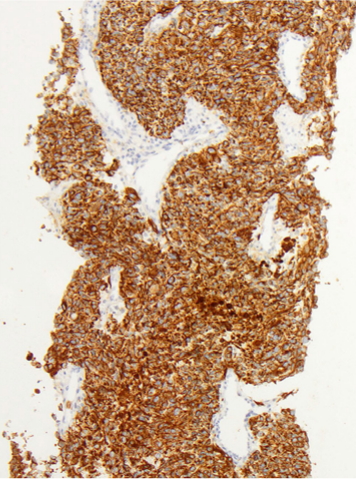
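Broad sheets of closely packed cells fill the field, separated by narrow clefts and thin strands of stroma. The cells in the intervening stroma remain unstained and pale blue.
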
